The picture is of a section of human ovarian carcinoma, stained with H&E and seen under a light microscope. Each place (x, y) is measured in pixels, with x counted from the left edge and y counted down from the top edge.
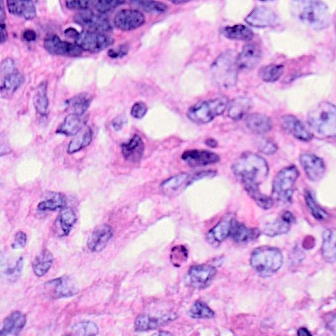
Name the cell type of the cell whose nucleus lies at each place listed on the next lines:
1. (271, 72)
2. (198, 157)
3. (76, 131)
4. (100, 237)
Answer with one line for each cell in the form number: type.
1: macrophage or monocyte
2: macrophage or monocyte
3: fibroblast
4: fibroblast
